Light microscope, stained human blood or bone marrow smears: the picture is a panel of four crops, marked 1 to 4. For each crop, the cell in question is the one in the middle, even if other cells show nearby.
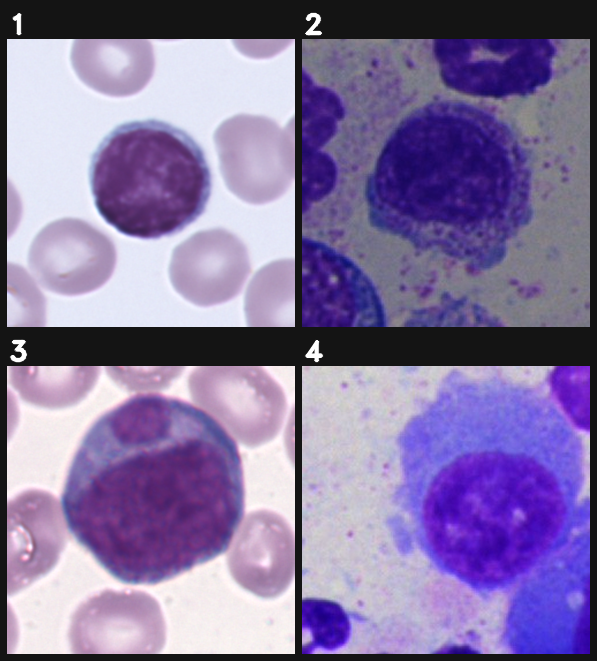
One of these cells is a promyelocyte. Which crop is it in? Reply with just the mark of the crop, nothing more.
3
